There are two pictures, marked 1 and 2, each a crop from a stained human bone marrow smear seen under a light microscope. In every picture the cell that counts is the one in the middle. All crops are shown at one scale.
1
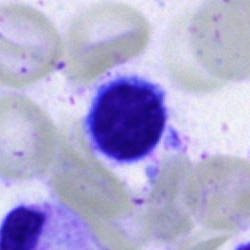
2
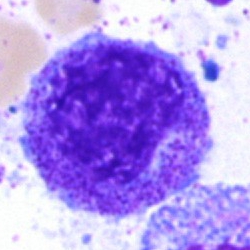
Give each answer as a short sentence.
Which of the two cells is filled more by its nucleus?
The nucleus fills more of the cell in picture 1 than in picture 2.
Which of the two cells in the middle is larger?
It is the cell in picture 2, about 4 times as large in area as the cell in picture 1.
